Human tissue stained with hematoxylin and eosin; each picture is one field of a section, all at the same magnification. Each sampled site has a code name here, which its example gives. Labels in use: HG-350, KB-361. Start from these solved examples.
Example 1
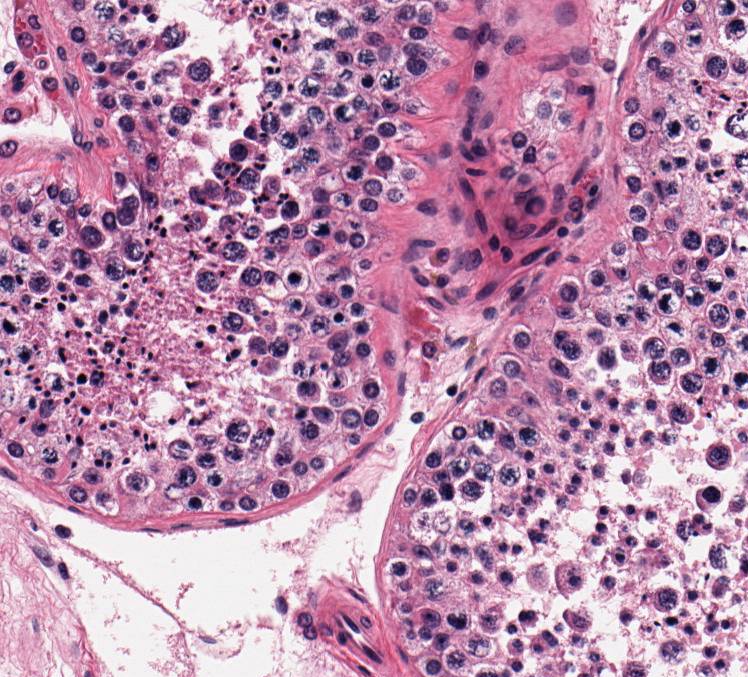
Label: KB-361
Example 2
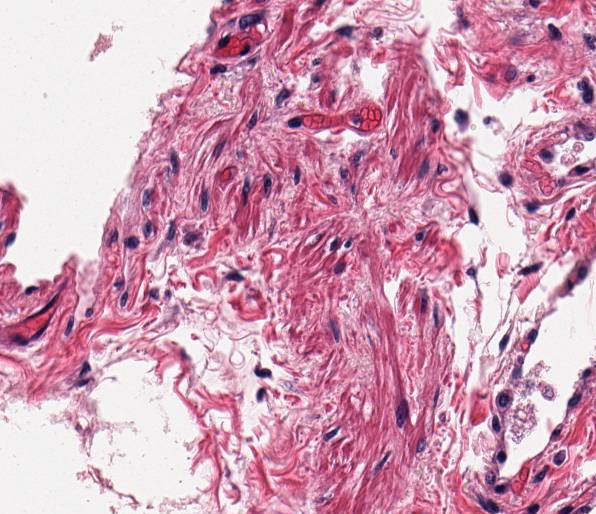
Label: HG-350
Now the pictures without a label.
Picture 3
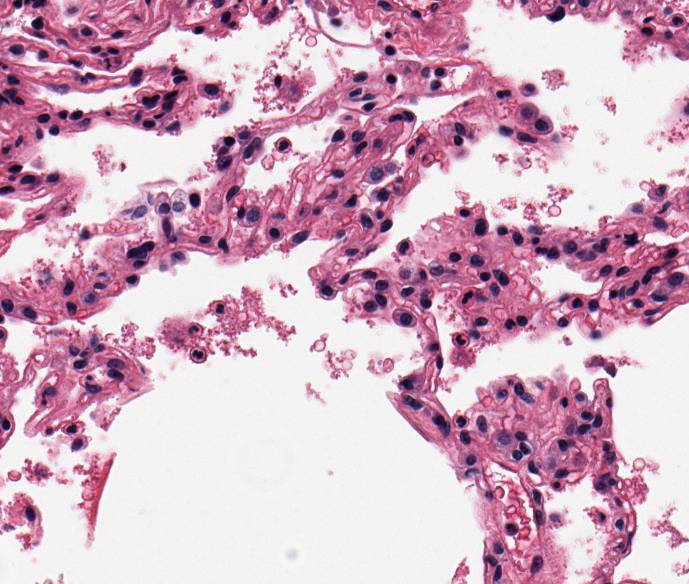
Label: HG-350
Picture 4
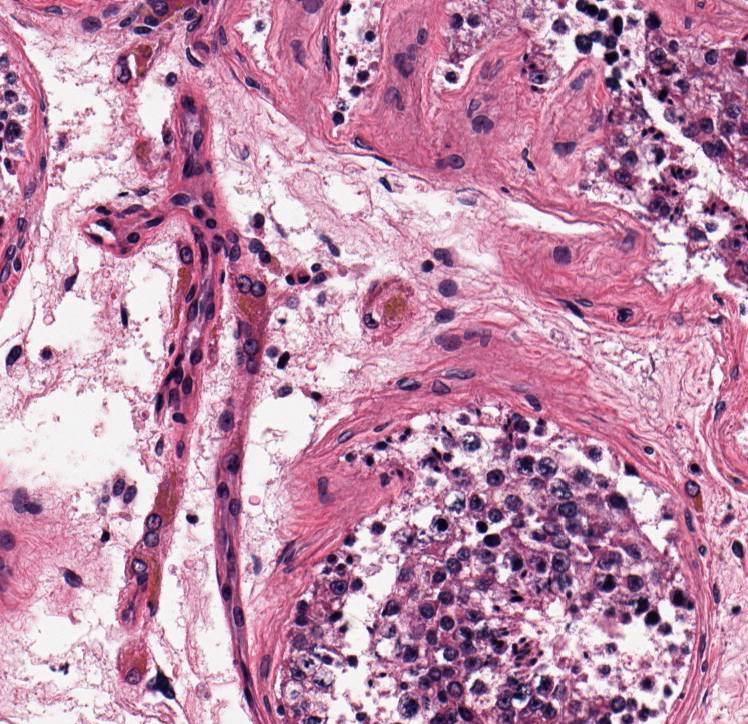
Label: KB-361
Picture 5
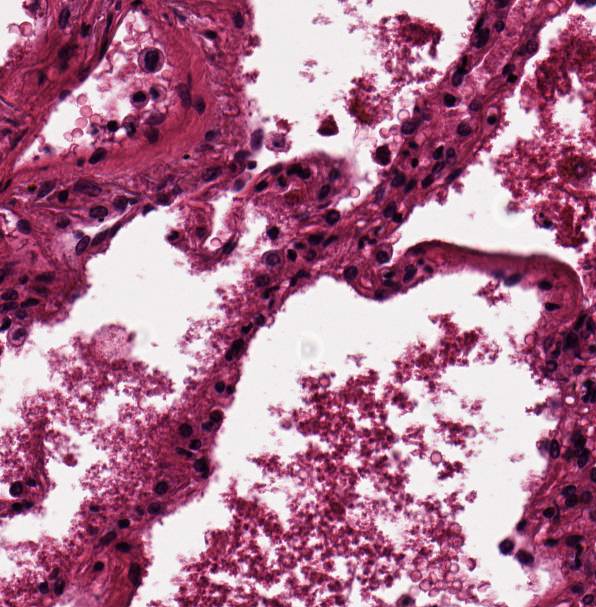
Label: HG-350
